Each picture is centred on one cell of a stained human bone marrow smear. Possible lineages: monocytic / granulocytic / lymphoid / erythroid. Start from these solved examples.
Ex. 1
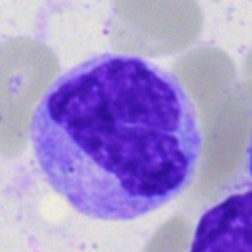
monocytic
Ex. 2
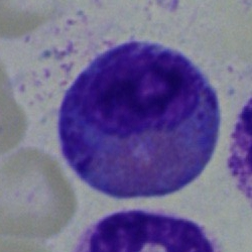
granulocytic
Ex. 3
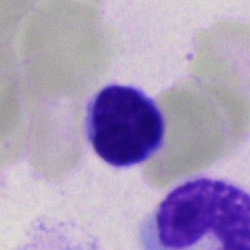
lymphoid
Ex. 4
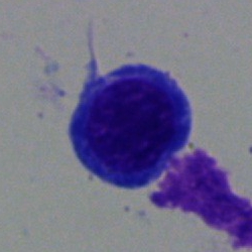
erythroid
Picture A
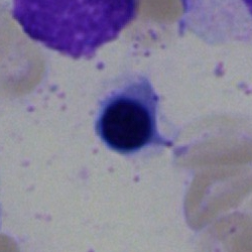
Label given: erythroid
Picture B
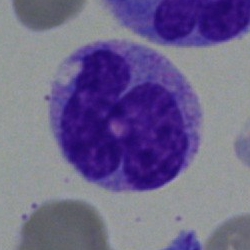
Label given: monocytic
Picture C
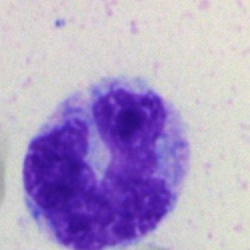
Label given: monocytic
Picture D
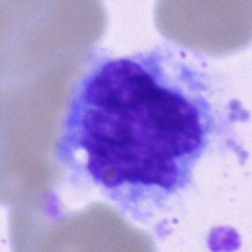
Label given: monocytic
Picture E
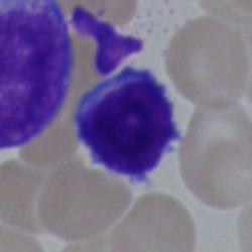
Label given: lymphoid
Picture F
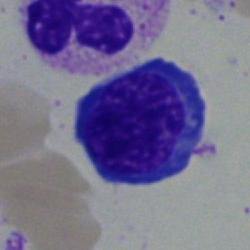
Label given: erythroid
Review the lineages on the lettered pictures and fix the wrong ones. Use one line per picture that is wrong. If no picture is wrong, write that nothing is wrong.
Nothing to fix; every label fits.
